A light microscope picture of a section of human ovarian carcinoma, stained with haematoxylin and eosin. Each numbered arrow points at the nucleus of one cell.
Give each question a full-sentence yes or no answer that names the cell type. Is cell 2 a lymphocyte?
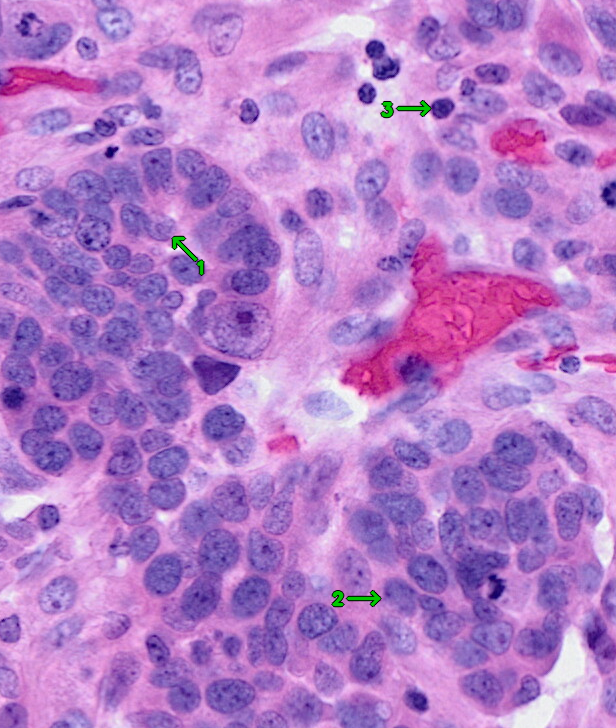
No, number 2 points to a carcinoma cell and not to a lymphocyte.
